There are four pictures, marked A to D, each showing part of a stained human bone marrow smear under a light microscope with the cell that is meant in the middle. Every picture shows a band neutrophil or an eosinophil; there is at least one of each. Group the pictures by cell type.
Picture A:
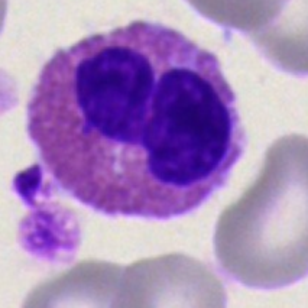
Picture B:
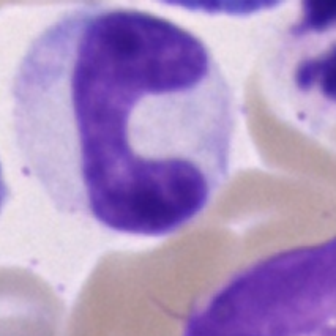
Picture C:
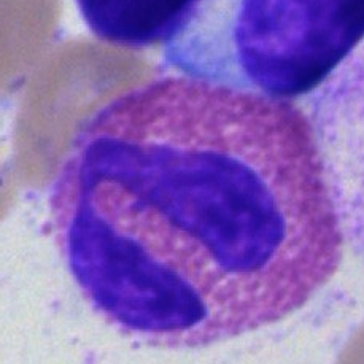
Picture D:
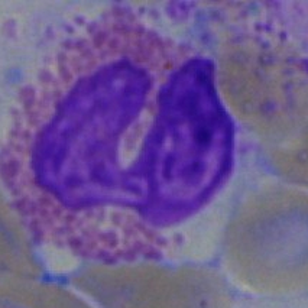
A: eosinophil
B: band neutrophil
C: eosinophil
D: eosinophil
